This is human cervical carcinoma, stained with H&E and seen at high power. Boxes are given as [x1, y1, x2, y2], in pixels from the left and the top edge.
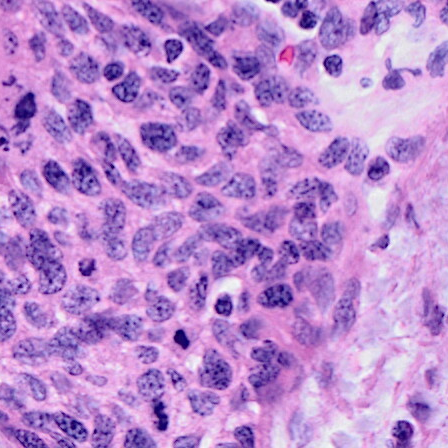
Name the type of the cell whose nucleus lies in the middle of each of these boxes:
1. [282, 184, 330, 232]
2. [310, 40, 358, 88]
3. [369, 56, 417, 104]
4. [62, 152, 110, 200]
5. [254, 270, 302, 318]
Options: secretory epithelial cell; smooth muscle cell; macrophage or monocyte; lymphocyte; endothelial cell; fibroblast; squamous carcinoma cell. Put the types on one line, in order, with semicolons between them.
squamous carcinoma cell; lymphocyte; lymphocyte; squamous carcinoma cell; squamous carcinoma cell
